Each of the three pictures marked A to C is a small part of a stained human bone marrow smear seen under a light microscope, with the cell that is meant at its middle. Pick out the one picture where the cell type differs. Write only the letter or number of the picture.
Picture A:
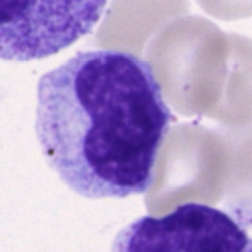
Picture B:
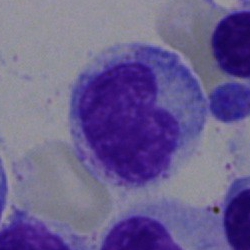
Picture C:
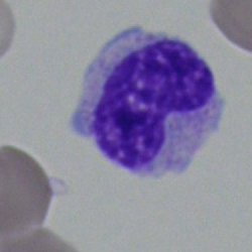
C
